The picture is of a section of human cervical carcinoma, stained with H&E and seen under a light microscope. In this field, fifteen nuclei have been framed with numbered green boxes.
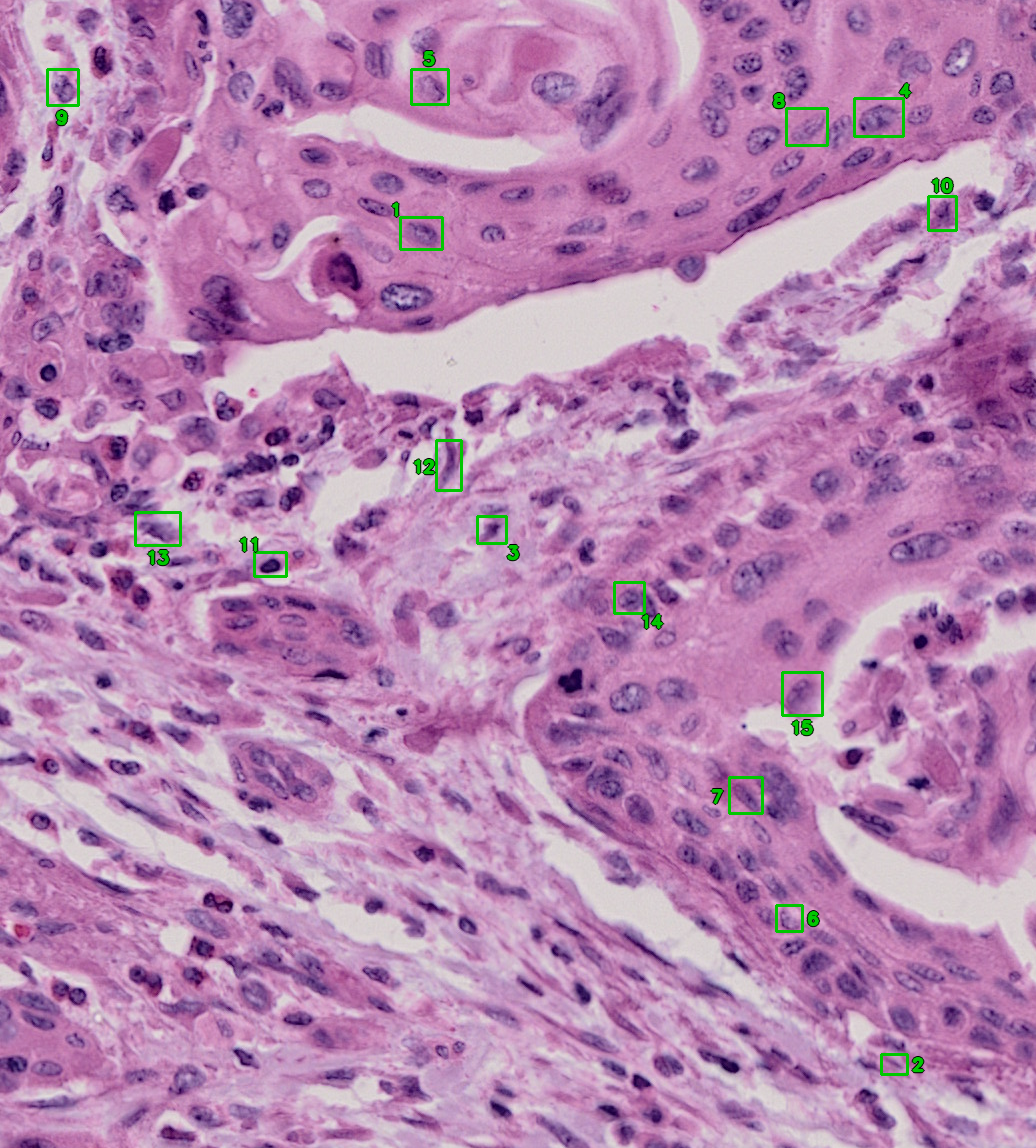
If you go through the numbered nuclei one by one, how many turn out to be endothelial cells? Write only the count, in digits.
0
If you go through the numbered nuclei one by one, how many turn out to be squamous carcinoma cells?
8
